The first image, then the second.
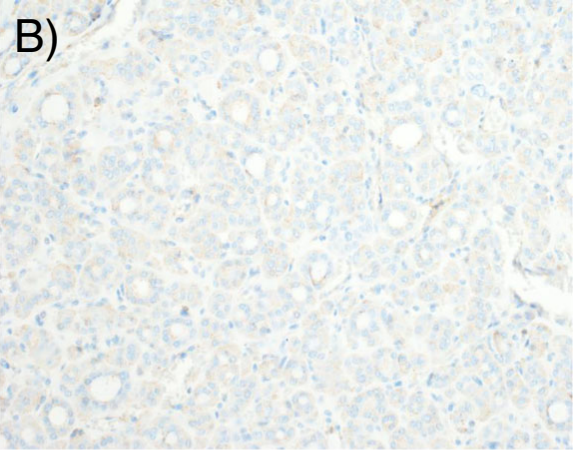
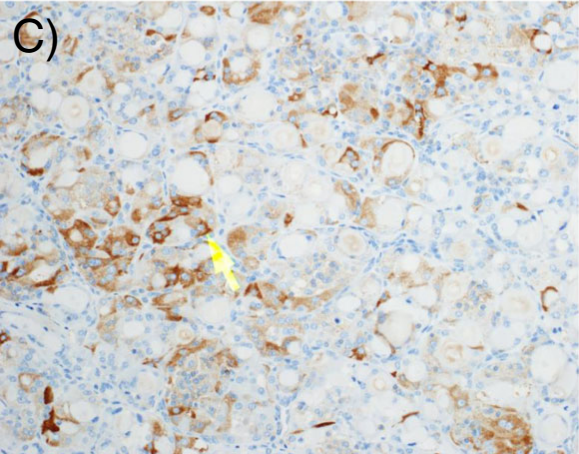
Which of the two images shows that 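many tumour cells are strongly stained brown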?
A: The second image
